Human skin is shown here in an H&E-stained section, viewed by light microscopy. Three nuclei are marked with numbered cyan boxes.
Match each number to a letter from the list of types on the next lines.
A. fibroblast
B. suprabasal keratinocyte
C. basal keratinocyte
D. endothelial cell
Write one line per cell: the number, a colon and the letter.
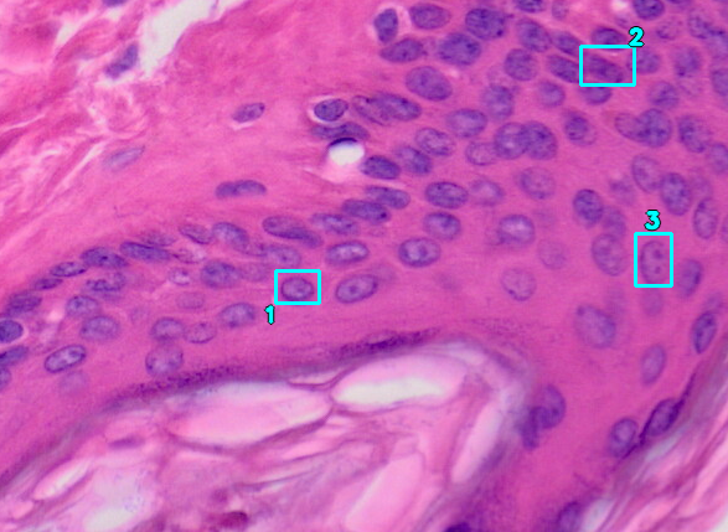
1: B
2: C
3: B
